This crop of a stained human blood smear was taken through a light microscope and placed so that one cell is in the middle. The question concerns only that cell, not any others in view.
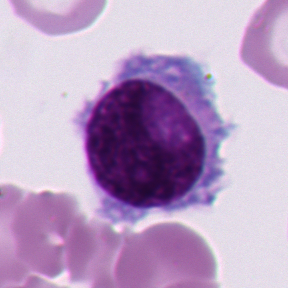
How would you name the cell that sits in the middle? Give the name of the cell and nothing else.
hairy cell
